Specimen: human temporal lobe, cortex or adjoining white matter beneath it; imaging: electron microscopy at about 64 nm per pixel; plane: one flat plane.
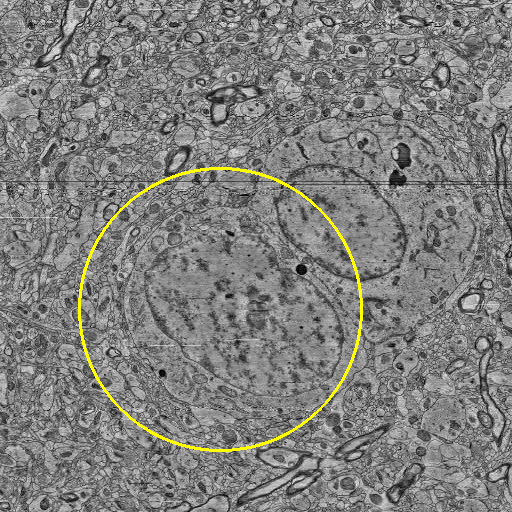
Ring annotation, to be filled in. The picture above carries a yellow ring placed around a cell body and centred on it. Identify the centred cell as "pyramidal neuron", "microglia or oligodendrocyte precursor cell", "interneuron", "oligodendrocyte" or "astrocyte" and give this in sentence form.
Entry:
The cell in the middle of the ring is an interneuron.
